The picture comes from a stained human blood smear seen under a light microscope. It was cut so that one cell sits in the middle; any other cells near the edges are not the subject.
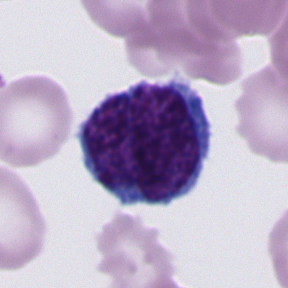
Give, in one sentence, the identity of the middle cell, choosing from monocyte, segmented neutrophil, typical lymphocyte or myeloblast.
To answer, the cell in the center of the crop is a typical lymphocyte.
